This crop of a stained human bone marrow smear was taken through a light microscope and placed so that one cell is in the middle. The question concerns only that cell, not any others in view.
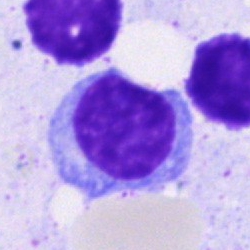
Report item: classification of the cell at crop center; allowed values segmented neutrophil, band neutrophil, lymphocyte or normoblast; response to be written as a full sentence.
The crop's centre is taken up by a lymphocyte.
